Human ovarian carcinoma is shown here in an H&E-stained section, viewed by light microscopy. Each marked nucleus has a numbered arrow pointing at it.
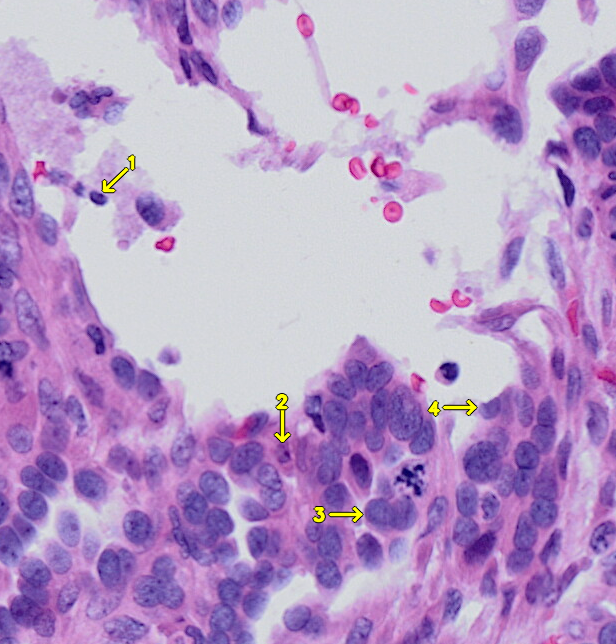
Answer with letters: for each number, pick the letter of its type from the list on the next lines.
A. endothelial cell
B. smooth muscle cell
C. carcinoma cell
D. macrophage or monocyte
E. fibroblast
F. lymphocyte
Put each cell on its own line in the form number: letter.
1: F
2: D
3: C
4: C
